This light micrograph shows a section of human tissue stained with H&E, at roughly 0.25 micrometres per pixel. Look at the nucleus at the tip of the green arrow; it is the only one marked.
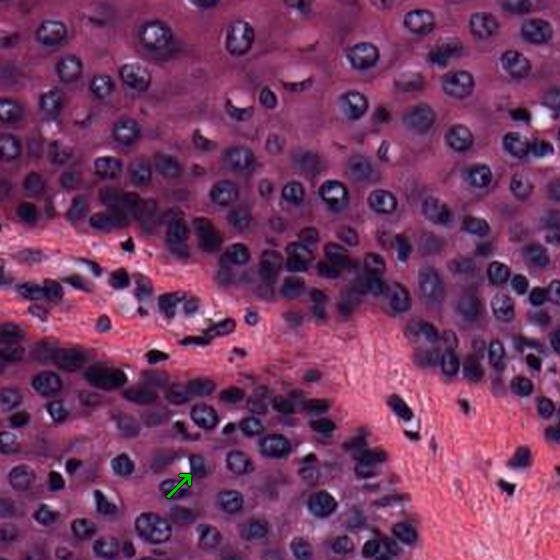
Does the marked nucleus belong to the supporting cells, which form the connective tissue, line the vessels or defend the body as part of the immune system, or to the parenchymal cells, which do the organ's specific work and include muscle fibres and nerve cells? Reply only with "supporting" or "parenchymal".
parenchymal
